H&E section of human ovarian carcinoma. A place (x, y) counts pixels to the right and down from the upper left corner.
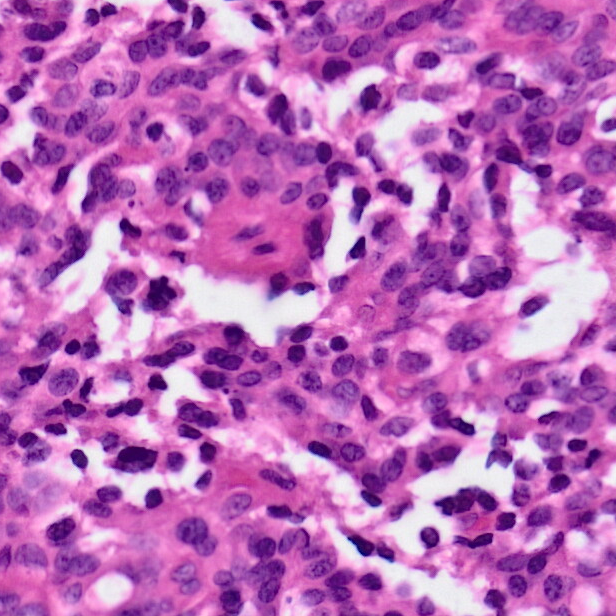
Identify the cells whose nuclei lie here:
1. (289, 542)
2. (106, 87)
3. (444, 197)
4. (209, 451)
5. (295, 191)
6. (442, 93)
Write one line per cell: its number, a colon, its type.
1: carcinoma cell
2: macrophage or monocyte
3: carcinoma cell
4: carcinoma cell
5: macrophage or monocyte
6: carcinoma cell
